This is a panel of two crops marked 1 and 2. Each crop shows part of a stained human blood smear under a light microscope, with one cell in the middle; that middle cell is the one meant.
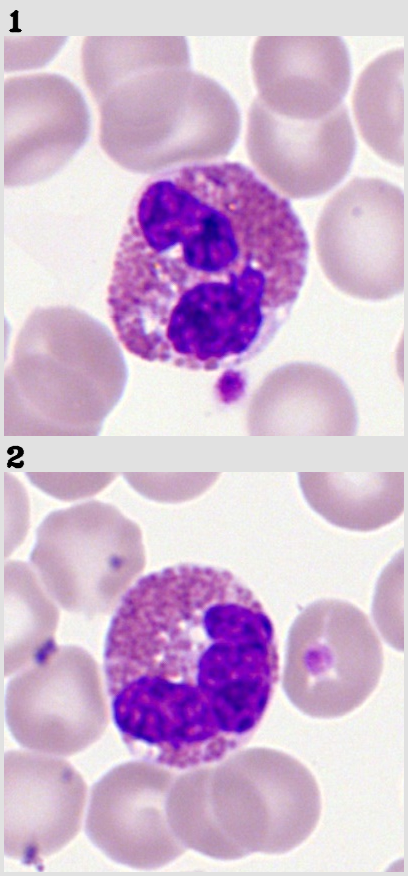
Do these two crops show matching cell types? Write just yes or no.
yes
